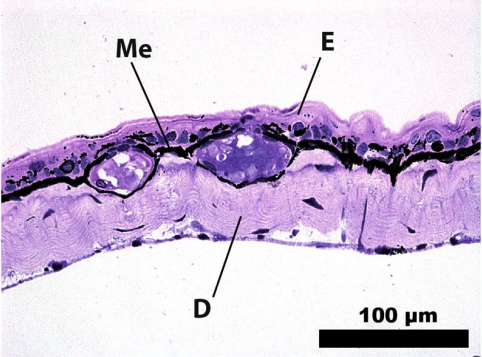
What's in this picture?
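The epidermis is a few cells thick, with small purple nuclei and a flattened outer surface. Directly beneath it runs a continuous black band of pigment that also wraps around two rounded gland-like cell clusters embedded at the epidermal–dermal junction. Below lies a thick pale lilac dermis made of wavy, layered collagen bundles with scattered flattened dark nuclei of fibroblasts. No bone is present within the dermis; the deep surface of the skin is free.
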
